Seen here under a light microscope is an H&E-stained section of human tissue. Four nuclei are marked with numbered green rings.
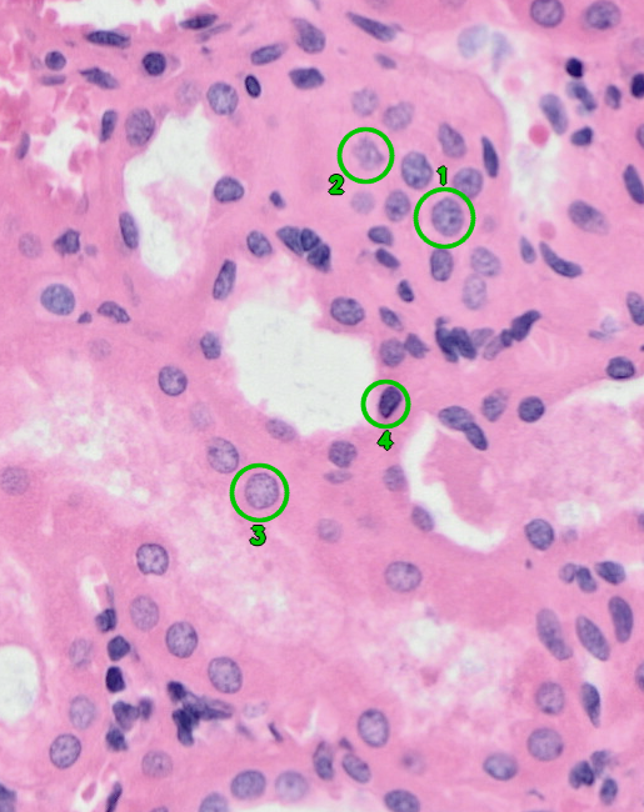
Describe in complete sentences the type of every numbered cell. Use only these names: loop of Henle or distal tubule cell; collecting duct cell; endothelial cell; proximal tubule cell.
Cell 1 is a loop of Henle or distal tubule cell, cell 2 is a loop of Henle or distal tubule cell, cell 3 is a proximal tubule cell and cell 4 is a loop of Henle or distal tubule cell.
